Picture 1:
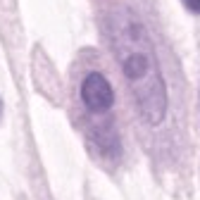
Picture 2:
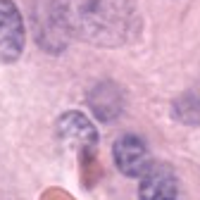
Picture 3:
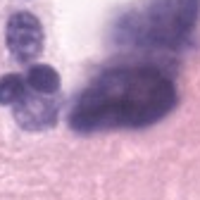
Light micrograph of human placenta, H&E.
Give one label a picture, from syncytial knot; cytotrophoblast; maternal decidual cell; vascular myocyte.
1. maternal decidual cell
2. cytotrophoblast
3. syncytial knot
